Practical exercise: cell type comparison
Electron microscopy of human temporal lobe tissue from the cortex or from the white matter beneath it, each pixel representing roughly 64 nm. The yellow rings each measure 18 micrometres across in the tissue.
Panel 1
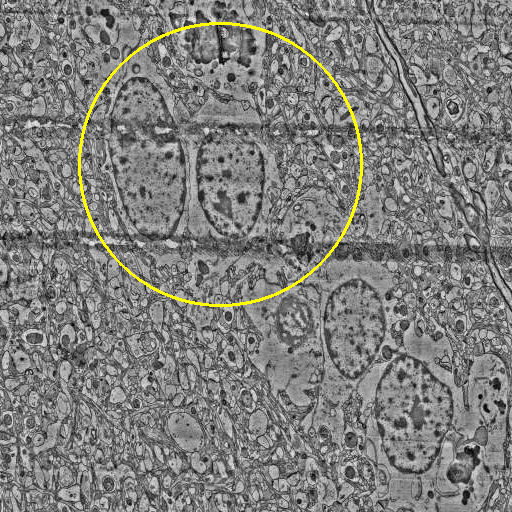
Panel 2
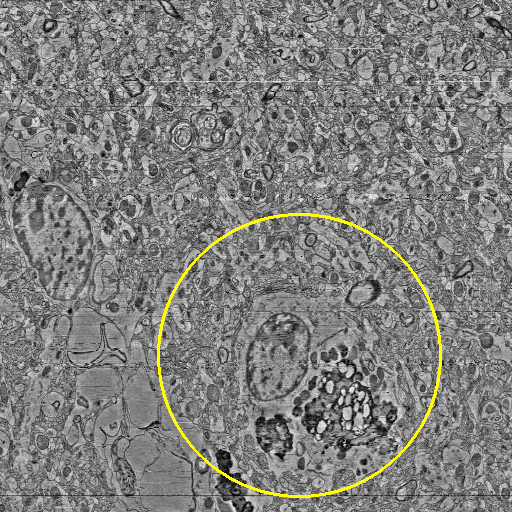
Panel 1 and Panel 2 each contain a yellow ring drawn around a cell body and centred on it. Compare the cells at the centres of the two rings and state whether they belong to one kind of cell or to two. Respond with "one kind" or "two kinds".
one kind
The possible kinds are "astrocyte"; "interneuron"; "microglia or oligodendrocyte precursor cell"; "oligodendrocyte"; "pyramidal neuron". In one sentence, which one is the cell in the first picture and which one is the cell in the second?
The second cell is an astrocyte, just as the first is.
